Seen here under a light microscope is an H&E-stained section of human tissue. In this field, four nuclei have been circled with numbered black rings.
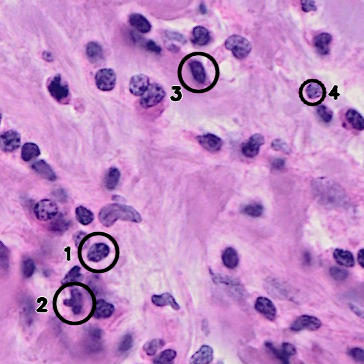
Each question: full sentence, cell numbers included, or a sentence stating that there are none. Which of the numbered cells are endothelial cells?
Each of the numbered cells is a cell other than one of the endothelial cells.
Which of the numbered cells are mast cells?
It is cell 4, and no other numbered cell, that is a mast cell.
